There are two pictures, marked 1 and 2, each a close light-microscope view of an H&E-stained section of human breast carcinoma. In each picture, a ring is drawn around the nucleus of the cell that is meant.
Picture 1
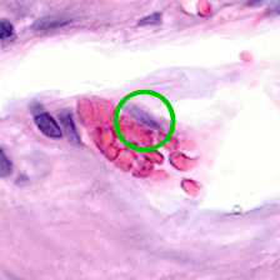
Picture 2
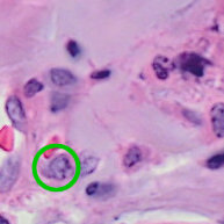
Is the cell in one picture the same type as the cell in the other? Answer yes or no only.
yes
